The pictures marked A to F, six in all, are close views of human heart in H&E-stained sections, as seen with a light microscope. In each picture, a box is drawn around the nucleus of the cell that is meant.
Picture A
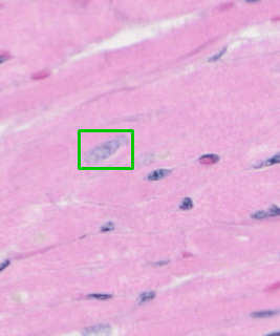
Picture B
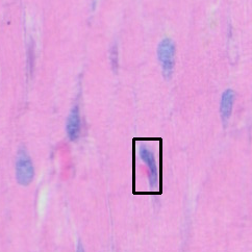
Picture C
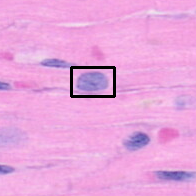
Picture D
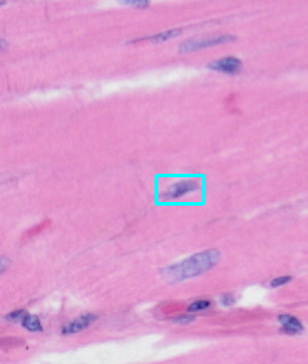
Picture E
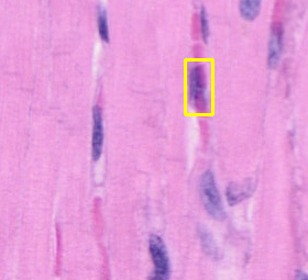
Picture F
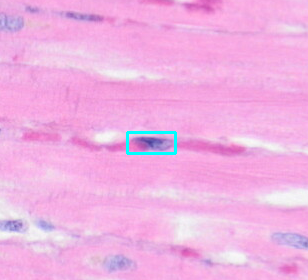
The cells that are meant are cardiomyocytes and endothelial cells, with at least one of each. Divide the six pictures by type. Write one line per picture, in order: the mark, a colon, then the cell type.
A: cardiomyocyte
B: endothelial cell
C: cardiomyocyte
D: endothelial cell
E: endothelial cell
F: endothelial cell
